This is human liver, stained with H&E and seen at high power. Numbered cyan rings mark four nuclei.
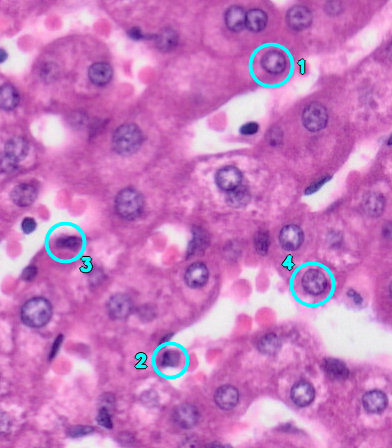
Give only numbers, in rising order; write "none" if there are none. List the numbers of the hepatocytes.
1, 4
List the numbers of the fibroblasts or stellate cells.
3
